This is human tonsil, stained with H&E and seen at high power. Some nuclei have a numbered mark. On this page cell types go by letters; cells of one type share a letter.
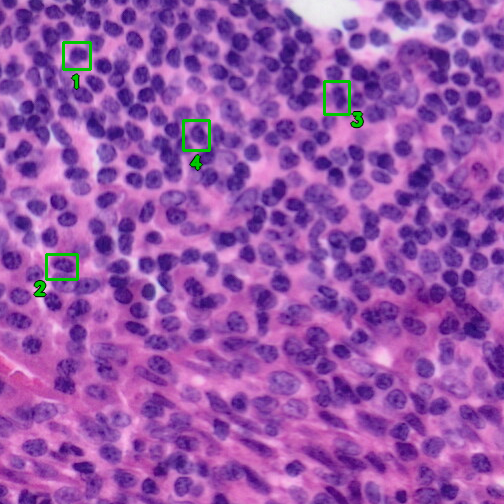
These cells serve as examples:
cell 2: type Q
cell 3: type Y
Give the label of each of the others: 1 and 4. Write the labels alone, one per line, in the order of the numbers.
type Y
type Y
